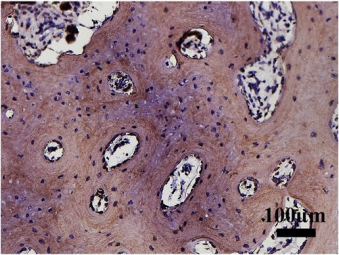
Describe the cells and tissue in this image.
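Bone tissue takes up most of the field, and its matrix is stained pale to light brown. Small, blue-purple osteocyte nuclei lie singly and are scattered through the matrix. The matrix is perforated by rounded and irregular channels. These hold loose connective tissue with blue-stained nuclei and small vessels. At the upper edge, a pale space and dark brown-black deposits border a cell-rich, loose tissue. The brown tone of the matrix is darker close to some of the channels.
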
